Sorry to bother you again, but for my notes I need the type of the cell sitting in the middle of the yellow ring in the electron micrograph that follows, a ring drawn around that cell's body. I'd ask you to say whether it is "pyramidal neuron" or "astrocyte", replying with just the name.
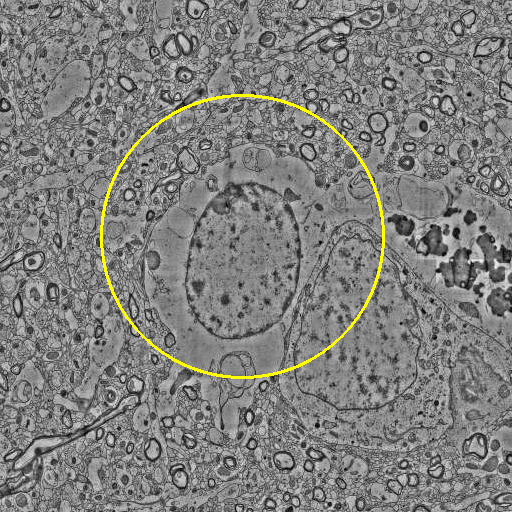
astrocyte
